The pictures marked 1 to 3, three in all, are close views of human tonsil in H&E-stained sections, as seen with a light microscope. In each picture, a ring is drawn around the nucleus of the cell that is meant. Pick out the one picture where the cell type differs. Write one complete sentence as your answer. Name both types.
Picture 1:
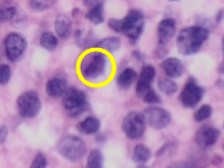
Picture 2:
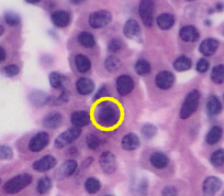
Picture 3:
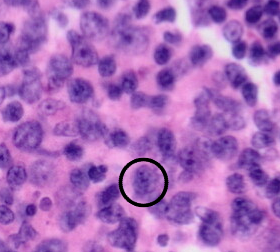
Picture 2 is the odd one out: it shows a plasma cell, while the others show proliferating B cells.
